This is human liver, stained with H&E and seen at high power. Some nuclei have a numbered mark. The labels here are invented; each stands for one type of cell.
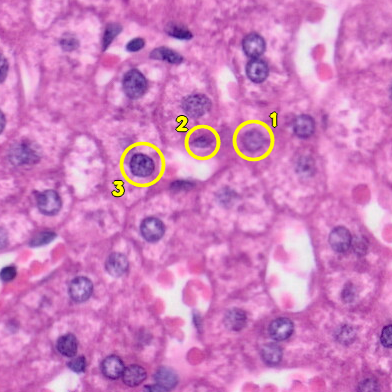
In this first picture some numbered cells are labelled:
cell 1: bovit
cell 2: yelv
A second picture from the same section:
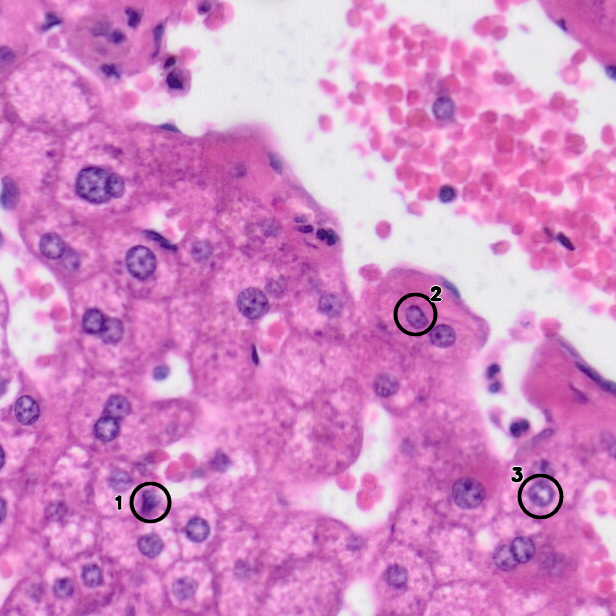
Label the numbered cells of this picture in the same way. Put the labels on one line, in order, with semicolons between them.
yelv; bovit; bovit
